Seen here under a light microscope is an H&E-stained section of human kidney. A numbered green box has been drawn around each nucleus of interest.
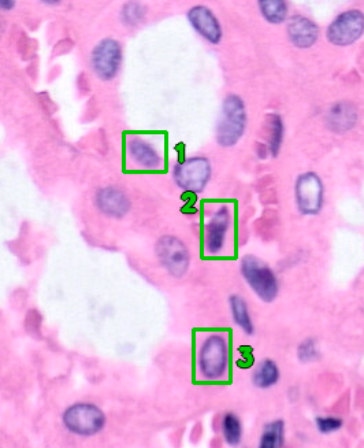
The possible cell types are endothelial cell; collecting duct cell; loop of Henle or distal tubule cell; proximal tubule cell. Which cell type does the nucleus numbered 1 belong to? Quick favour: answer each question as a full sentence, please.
The cell that goes by number 1 is a loop of Henle or distal tubule cell.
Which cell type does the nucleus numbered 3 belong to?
Cell 3 in the field is a proximal tubule cell.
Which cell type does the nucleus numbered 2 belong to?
Here the cell numbered 2 is an endothelial cell.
